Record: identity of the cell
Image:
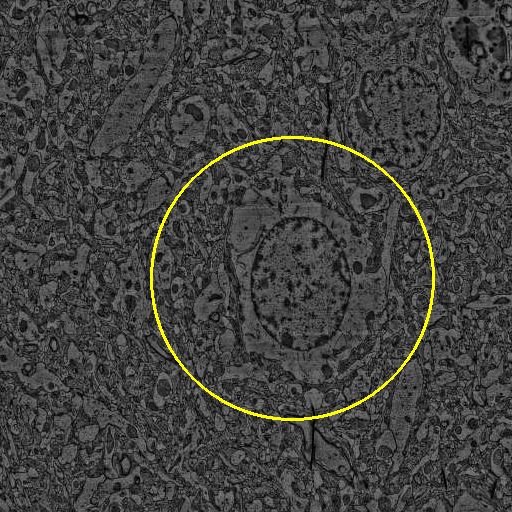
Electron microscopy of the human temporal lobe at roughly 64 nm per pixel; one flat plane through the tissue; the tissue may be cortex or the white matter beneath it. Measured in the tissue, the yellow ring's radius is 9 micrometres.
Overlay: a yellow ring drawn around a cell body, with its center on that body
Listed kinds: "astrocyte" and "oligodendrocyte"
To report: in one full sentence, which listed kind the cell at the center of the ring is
In the image, the cell body at the ring's center belongs to an astrocyte.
